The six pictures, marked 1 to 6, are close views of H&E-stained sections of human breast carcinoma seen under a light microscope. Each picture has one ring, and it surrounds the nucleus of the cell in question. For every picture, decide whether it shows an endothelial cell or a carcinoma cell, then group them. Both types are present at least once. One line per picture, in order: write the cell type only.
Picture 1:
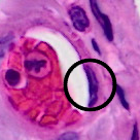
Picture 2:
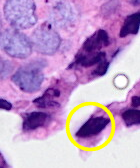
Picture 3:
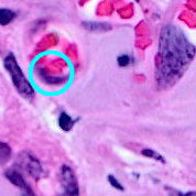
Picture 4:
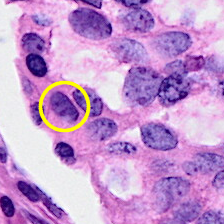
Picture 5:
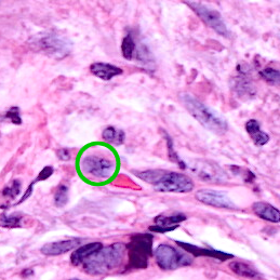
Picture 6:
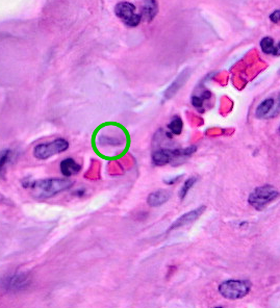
endothelial cell
carcinoma cell
endothelial cell
carcinoma cell
endothelial cell
endothelial cell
